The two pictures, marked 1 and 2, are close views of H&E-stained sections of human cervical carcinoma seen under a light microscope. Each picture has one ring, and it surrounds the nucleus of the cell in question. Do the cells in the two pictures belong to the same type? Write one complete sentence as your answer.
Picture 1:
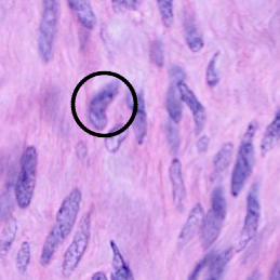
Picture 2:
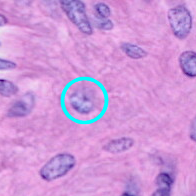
Yes, both cells are smooth muscle cells.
